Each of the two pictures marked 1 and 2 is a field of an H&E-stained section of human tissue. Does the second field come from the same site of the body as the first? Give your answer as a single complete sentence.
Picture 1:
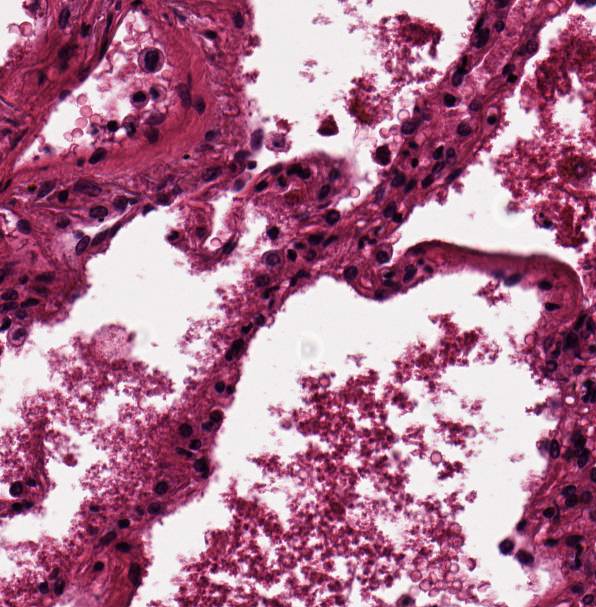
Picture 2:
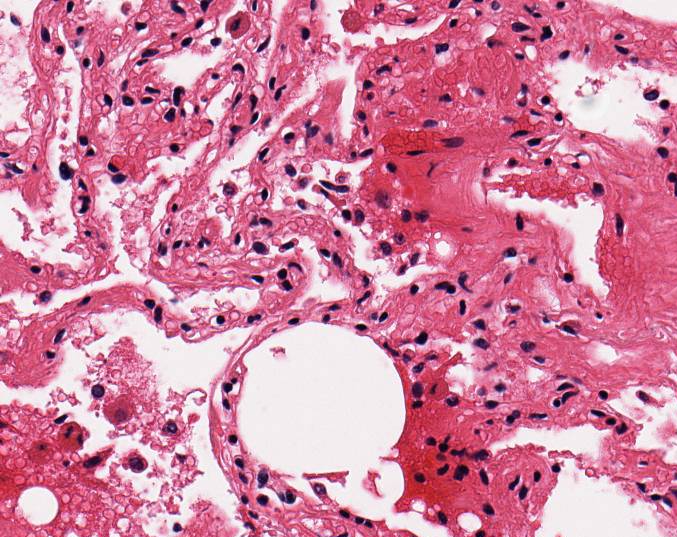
Yes, they come from the same site of the body: both come from the lung.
